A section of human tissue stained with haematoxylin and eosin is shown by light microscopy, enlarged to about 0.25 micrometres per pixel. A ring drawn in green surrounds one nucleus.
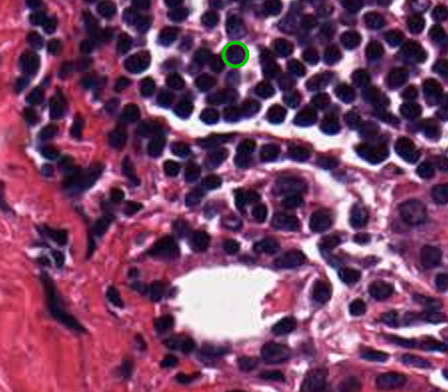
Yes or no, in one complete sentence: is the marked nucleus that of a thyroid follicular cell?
No, the marked nucleus is found in a supporting cell instead of in a thyroid follicular cell.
